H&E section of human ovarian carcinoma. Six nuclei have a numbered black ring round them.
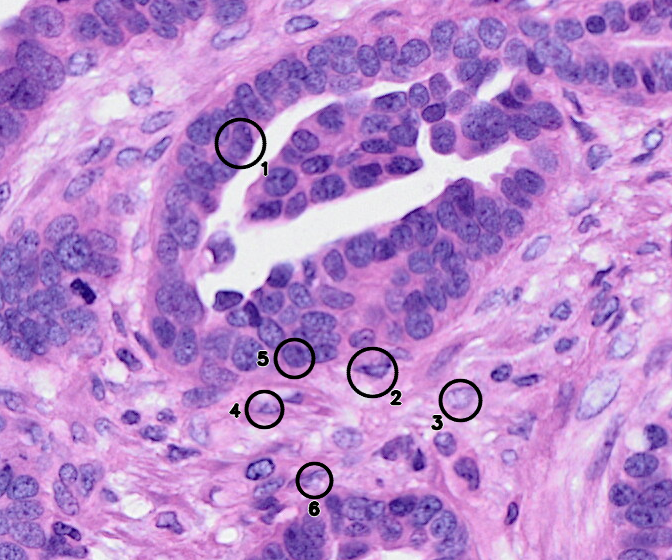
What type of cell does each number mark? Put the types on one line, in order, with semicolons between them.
carcinoma cell; fibroblast; fibroblast; fibroblast; carcinoma cell; fibroblast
